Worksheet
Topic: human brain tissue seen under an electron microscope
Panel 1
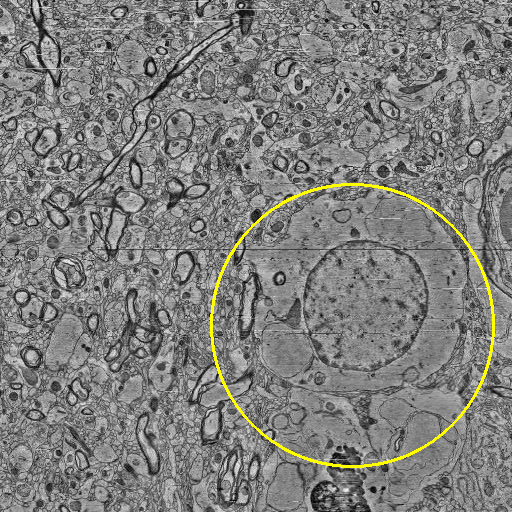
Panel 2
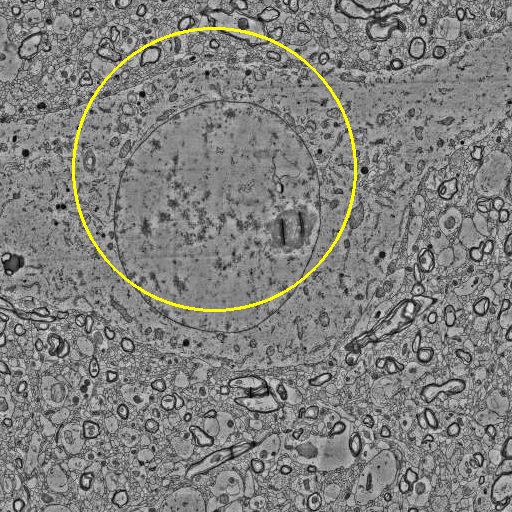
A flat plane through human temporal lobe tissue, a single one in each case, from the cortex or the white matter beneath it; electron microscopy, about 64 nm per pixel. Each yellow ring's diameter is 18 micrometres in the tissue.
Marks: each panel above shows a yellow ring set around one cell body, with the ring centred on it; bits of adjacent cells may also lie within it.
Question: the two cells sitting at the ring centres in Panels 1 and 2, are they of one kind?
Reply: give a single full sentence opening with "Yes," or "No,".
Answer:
No, the two ring-centre cells in Panel 1 and Panel 2 are of two kinds.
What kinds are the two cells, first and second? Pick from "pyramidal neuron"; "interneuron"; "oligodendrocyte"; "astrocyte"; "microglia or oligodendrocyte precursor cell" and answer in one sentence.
The second picture holds a pyramidal neuron in its ring, and the first holds an astrocyte.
